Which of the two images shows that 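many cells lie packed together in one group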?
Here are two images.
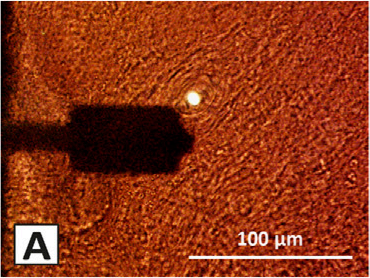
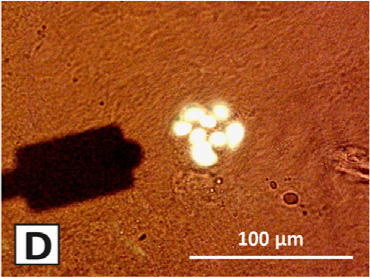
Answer: The second image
